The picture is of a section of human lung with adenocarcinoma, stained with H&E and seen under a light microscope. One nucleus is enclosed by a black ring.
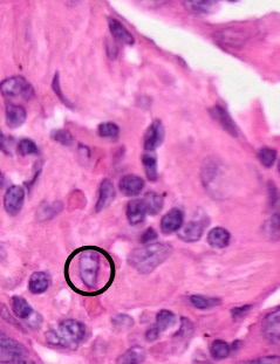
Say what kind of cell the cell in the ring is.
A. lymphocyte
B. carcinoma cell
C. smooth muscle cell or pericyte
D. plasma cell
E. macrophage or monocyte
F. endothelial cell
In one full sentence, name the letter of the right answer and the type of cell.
Option F is the one to take: the cell in the ring is an endothelial cell.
